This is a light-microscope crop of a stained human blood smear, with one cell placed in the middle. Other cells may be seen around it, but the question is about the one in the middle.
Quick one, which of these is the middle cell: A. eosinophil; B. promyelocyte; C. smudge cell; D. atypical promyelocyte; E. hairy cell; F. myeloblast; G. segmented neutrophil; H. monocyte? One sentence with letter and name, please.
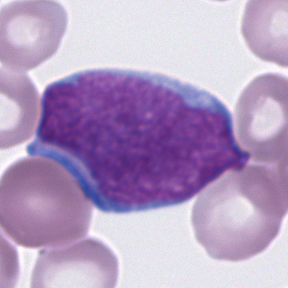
The cell placed in the middle is a myeloblast; option F is correct.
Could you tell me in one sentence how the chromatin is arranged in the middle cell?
The chromatin is fine, with no coarse clumping anywhere.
